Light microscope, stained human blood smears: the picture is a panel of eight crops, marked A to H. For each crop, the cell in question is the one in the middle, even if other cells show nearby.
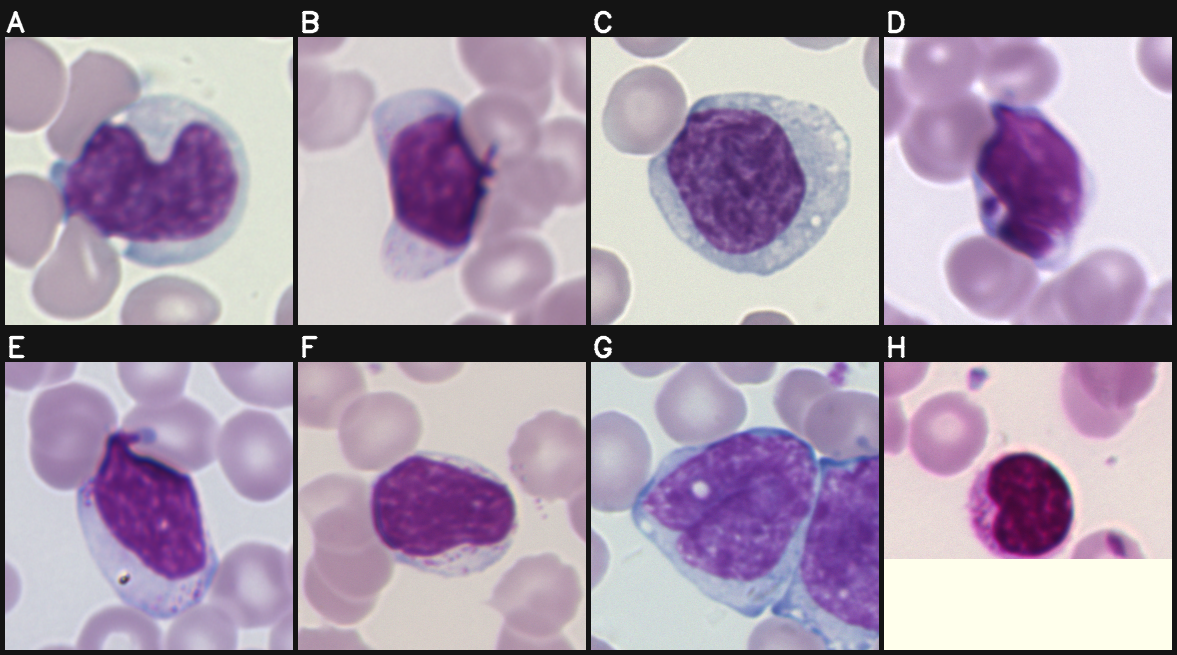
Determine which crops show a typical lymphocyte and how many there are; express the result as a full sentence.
In no crop are typical lymphocytes seen, and so their count is zero.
